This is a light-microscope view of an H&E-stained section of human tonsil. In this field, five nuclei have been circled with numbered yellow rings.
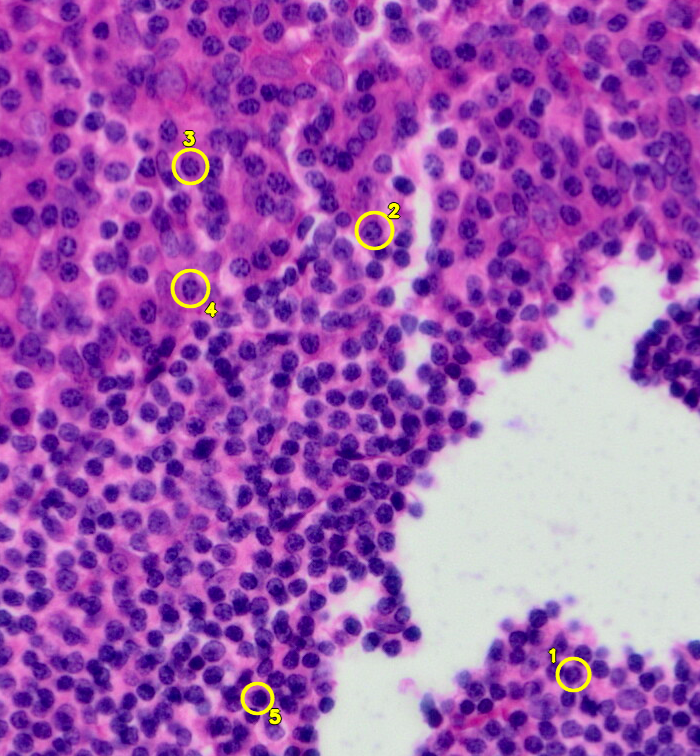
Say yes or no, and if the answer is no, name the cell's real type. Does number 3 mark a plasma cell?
Yes.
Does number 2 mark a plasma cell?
Yes.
